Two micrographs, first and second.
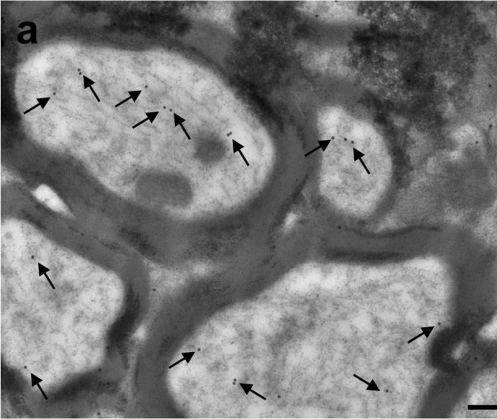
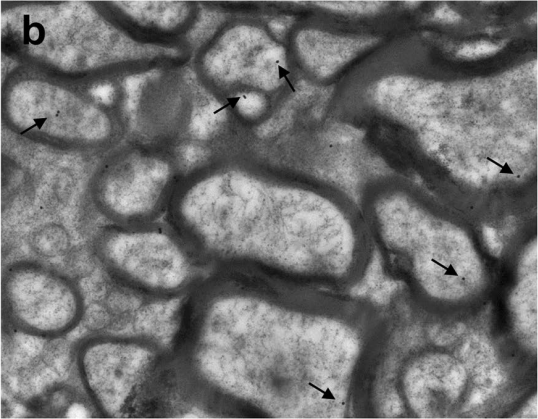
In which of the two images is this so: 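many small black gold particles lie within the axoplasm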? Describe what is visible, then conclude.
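The first image. Second image: only scattered single black dots are marked, one or two per axon. First image: many black dots, often in pairs or small groups, are marked inside the axons.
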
